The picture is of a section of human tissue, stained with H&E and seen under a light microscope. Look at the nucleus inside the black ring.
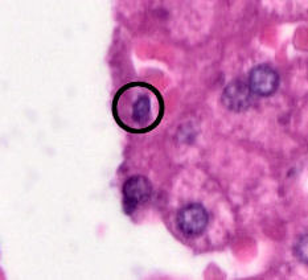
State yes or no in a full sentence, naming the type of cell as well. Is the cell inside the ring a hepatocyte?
No, the correct identification of the cell inside the ring is a fibroblast or stellate cell, not a hepatocyte.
